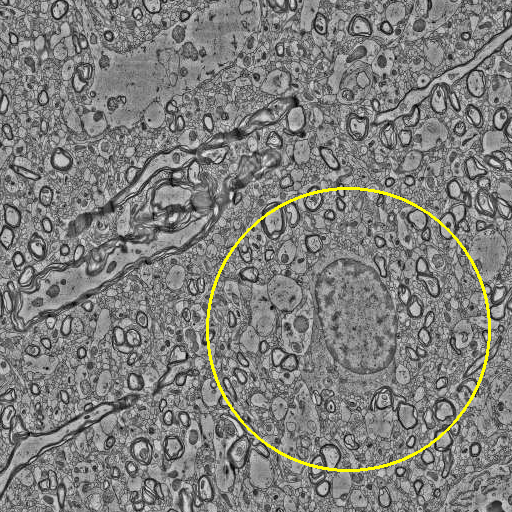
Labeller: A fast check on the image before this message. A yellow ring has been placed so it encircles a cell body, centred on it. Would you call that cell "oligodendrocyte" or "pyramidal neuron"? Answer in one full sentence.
In this image, an oligodendrocyte is the cell on which the yellow ring is centred.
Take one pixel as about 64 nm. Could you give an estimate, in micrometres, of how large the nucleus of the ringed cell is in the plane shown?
The nucleus is about 8 micrometres in length and 5 in width, clearly longer than it is wide in this plane.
